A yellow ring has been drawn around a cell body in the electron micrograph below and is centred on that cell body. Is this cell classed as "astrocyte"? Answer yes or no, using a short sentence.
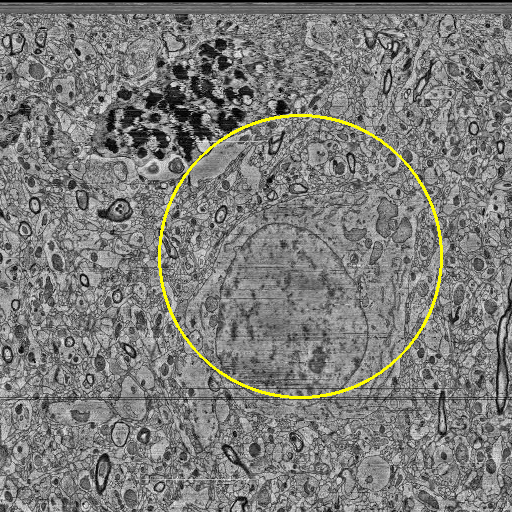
No, it is classed as another kind.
